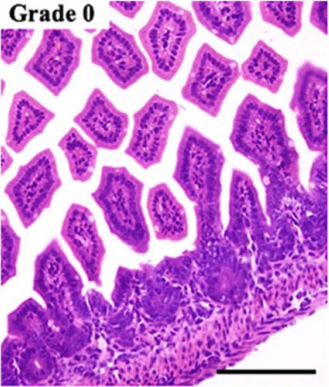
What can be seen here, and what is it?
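This is the lining of the small intestine, with its villi cut at many angles so most appear as separate islands of tissue. The villi are separated by clear spaces, the lumen. At the bottom, villi join the mucosa, where crypts sit, and beneath them a more compact band of elongated nuclei marks the muscular wall.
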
